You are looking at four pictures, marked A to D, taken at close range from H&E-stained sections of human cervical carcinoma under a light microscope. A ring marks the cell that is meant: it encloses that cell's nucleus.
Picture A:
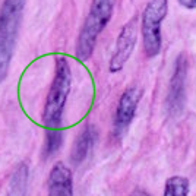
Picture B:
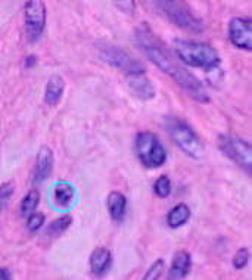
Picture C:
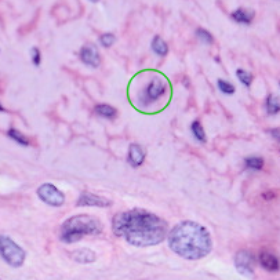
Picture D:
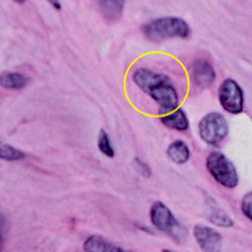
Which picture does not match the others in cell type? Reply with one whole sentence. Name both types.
The different one is picture D; it shows an endothelial cell, whereas all the others show smooth muscle cells.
